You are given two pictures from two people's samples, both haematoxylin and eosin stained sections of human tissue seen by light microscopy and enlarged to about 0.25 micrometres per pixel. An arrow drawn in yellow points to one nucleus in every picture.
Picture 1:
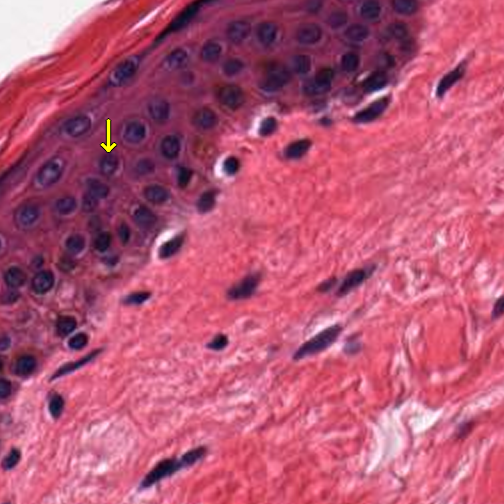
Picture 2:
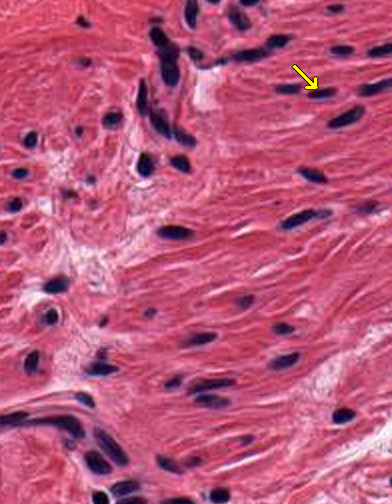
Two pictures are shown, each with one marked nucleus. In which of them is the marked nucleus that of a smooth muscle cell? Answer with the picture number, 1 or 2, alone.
2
